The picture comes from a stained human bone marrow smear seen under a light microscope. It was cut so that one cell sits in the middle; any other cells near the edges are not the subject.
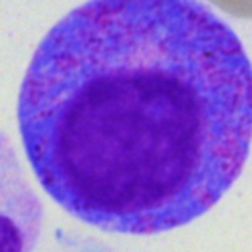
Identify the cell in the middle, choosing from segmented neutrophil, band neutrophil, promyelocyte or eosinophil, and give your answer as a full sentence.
The centered cell in this crop is a promyelocyte.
